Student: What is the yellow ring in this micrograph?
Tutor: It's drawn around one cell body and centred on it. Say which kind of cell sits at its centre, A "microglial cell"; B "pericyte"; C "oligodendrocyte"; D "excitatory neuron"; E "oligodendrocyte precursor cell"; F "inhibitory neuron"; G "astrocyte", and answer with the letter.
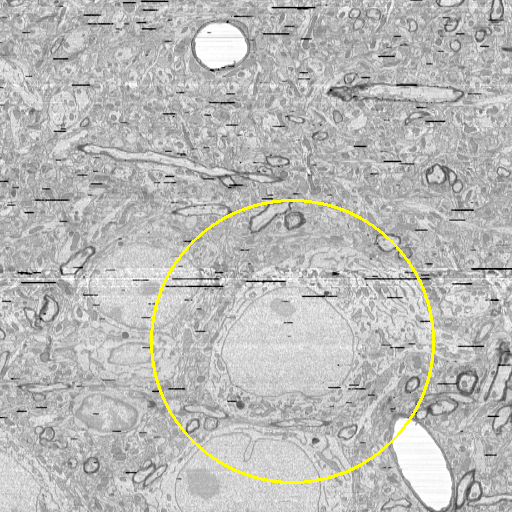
F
